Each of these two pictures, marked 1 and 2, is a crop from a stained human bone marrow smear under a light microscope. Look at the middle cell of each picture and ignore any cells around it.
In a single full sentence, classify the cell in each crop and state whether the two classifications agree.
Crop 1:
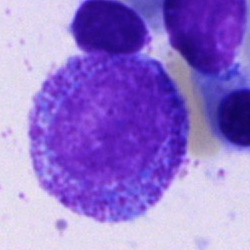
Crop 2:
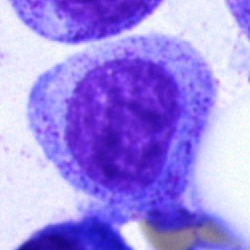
Yes, both crops here show promyelocytes, the pair of them.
